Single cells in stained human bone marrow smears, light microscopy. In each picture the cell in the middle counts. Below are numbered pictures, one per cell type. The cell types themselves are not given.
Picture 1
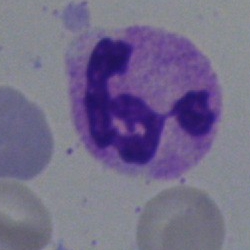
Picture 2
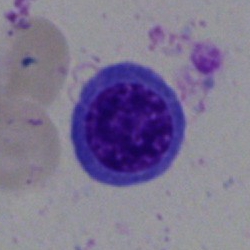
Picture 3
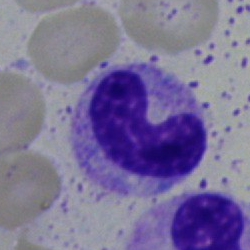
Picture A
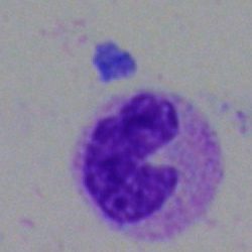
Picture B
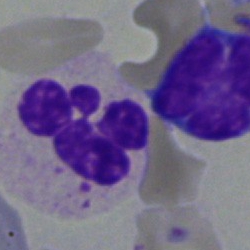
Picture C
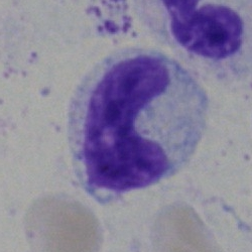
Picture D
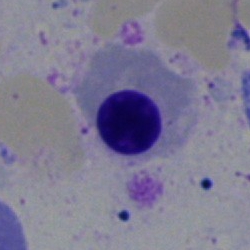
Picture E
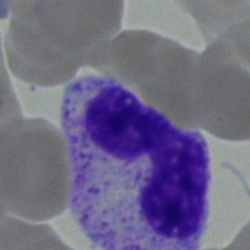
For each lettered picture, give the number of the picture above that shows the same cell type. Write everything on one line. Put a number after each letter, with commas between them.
A 3, B 1, C 3, D 2, E 3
